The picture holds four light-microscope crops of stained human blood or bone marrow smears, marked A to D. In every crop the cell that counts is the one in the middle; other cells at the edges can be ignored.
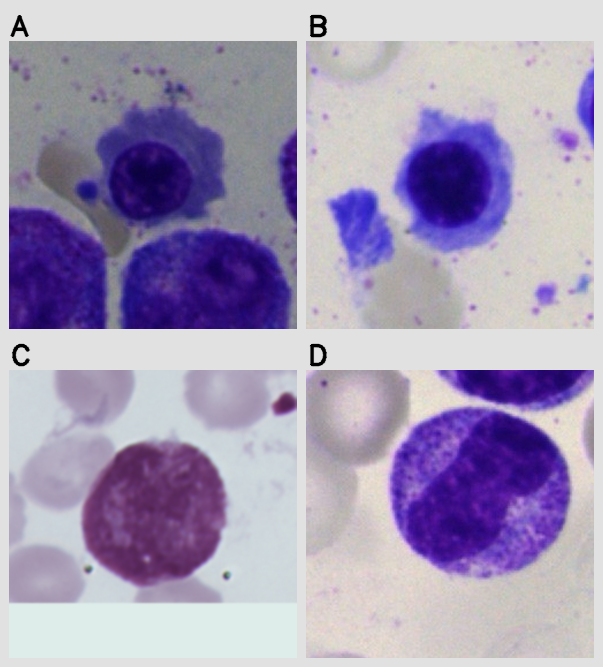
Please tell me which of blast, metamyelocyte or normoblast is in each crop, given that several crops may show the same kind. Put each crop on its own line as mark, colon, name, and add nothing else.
A: normoblast
B: normoblast
C: blast
D: metamyelocyte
